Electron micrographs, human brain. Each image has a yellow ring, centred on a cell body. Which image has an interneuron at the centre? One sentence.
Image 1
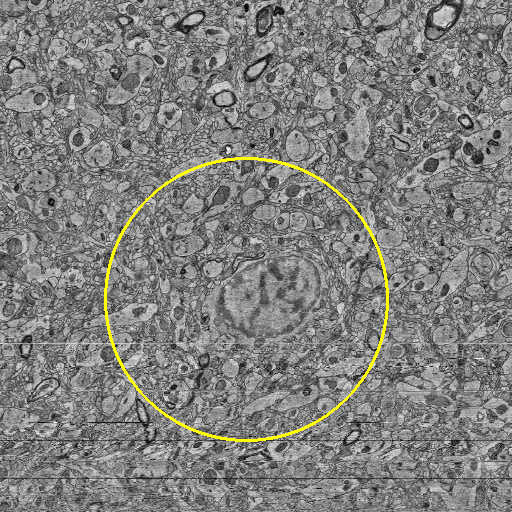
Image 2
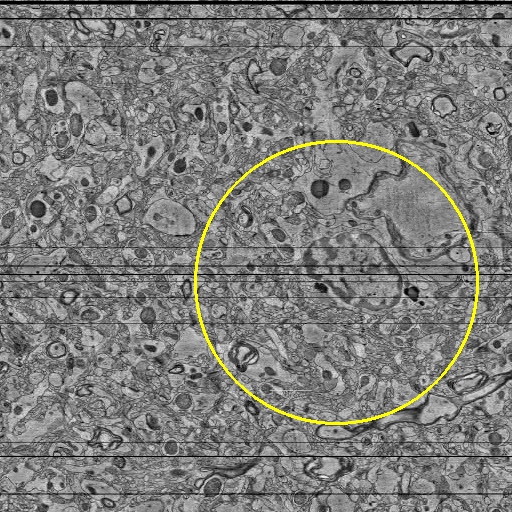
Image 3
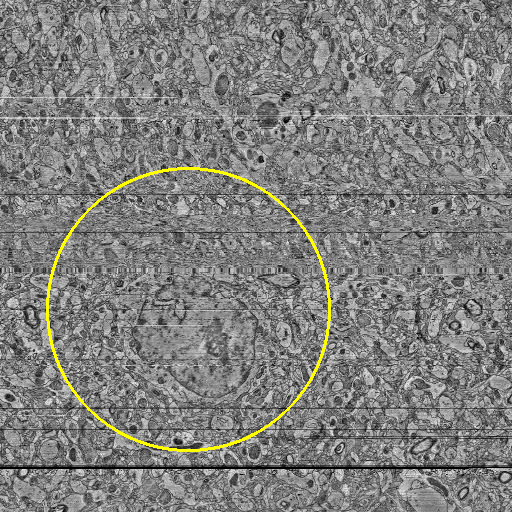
The ring in Image 3 is centred on it.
